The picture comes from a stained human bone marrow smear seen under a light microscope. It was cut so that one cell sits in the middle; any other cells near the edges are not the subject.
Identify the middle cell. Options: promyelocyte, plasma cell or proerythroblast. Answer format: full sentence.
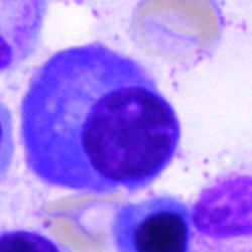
The cell sitting right in the middle is a plasma cell.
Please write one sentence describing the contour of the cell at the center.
The outline traces a smooth curve with no projections along it.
